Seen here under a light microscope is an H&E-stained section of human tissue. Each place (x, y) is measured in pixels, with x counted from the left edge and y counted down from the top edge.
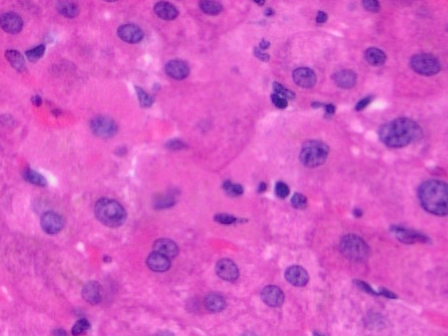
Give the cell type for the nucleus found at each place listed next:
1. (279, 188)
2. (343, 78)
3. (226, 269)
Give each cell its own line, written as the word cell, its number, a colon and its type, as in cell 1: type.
cell 1: lymphocyte
cell 2: hepatocyte
cell 3: hepatocyte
